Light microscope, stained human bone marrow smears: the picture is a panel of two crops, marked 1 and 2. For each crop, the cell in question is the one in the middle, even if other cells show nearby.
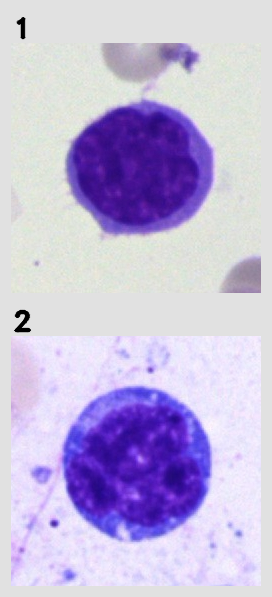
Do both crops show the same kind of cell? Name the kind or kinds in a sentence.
Yes, in both crops the centred cells are blasts.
